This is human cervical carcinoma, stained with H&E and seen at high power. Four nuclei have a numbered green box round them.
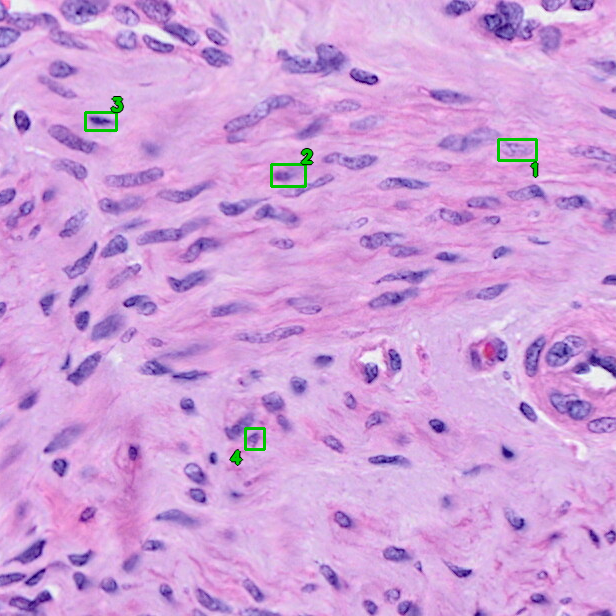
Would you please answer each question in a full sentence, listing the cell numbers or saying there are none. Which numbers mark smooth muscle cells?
The cells with numbers 1, 2 and 4 are smooth muscle cells by type.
